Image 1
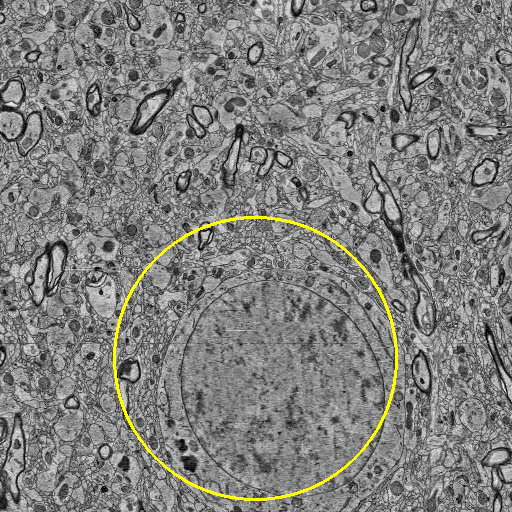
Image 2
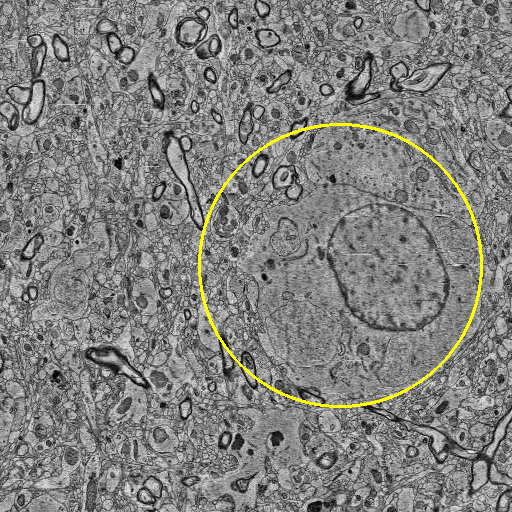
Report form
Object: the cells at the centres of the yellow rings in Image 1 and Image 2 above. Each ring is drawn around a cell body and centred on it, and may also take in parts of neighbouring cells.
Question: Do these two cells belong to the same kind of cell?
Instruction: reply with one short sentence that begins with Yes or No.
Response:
No, they belong to two kinds of cell.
